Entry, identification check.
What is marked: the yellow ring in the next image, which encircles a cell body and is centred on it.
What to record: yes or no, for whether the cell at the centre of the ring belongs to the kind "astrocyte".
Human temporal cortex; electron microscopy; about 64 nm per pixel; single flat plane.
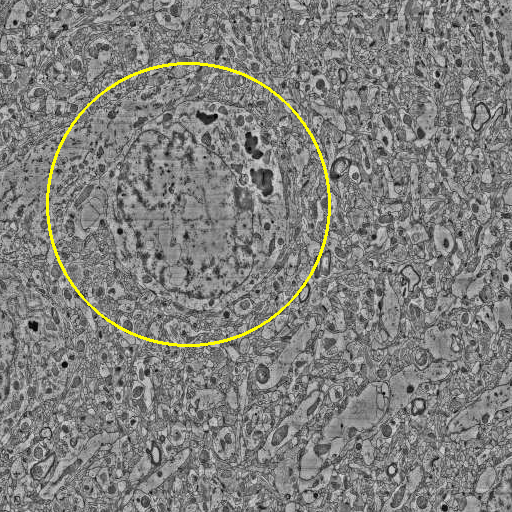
Yes, it belongs to that kind.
